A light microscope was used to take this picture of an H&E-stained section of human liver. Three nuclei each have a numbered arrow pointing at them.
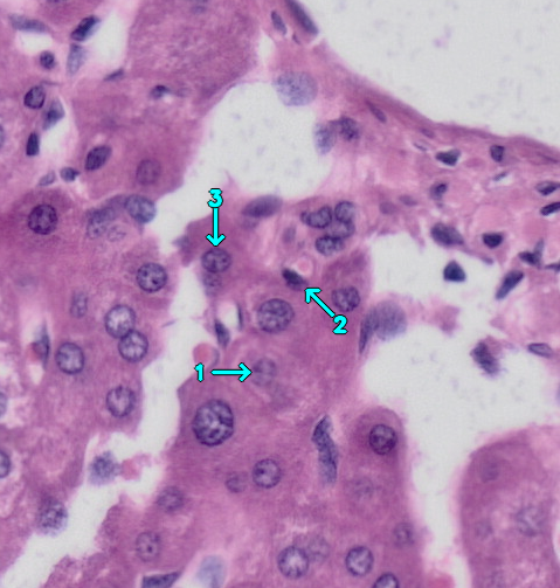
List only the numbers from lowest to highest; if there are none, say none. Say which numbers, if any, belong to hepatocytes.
1, 3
